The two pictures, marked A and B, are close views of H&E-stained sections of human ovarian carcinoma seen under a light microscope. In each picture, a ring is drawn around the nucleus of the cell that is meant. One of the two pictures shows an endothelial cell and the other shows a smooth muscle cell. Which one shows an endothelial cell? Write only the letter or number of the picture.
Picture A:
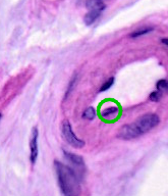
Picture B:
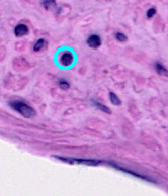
A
